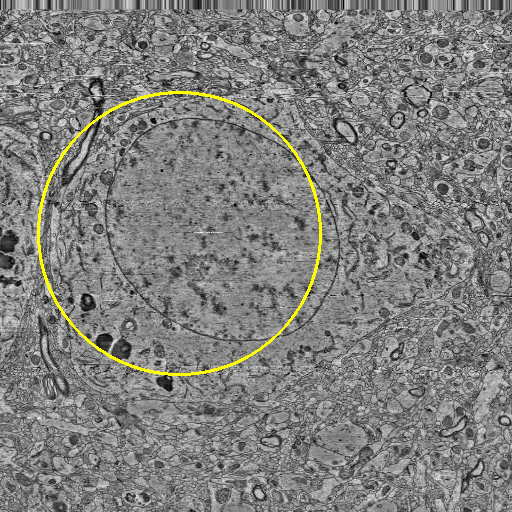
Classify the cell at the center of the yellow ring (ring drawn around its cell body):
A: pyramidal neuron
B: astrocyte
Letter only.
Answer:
A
